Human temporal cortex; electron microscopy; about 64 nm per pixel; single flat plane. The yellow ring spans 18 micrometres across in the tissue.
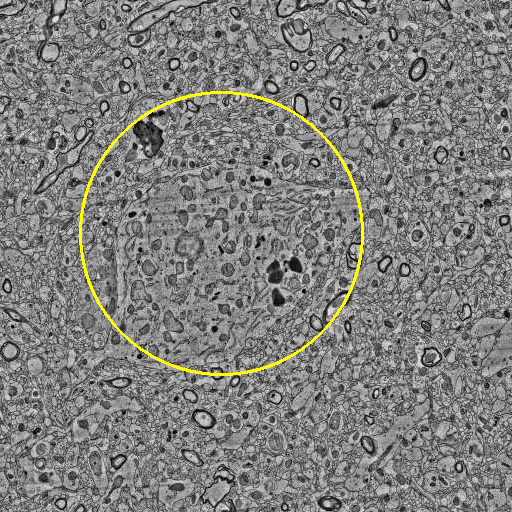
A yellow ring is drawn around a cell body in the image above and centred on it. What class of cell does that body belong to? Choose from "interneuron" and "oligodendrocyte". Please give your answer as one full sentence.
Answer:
The yellow ring above is centred on the cell body of an interneuron.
